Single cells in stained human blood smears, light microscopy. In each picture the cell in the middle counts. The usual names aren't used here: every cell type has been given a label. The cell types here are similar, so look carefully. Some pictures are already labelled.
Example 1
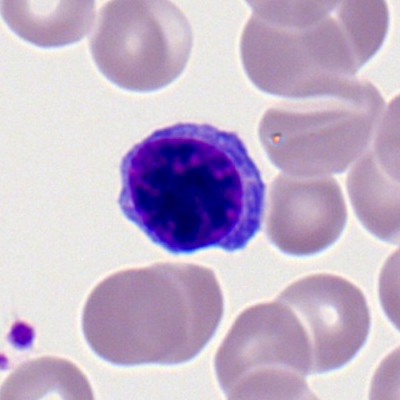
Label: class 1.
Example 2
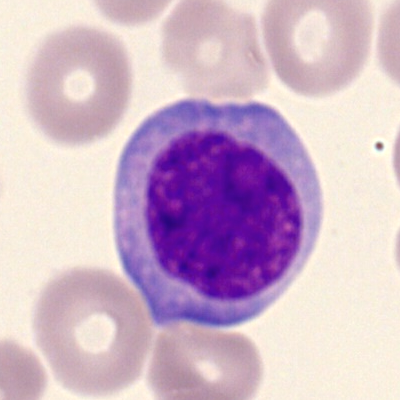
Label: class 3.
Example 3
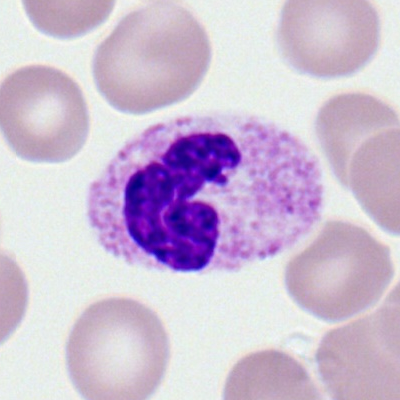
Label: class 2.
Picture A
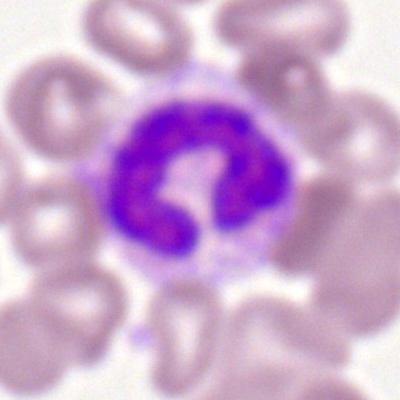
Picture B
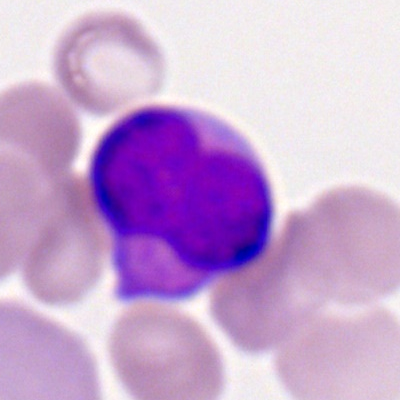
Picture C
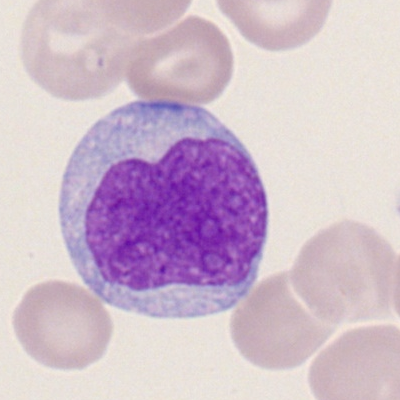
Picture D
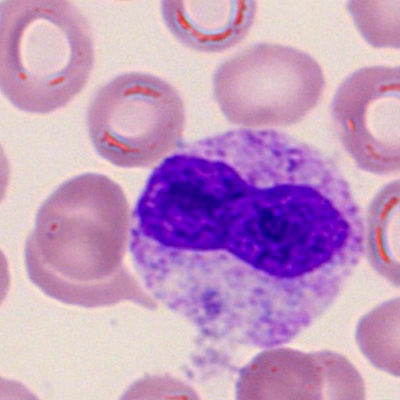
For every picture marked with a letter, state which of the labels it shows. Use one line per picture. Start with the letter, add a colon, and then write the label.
A: class 2.
B: class 3.
C: class 3.
D: class 2.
